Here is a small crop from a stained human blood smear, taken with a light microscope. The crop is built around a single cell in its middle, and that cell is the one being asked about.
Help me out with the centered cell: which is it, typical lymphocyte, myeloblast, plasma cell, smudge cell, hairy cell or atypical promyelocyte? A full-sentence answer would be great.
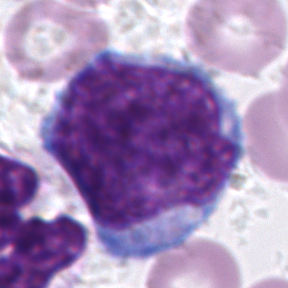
The cell sitting right in the middle is a myeloblast.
